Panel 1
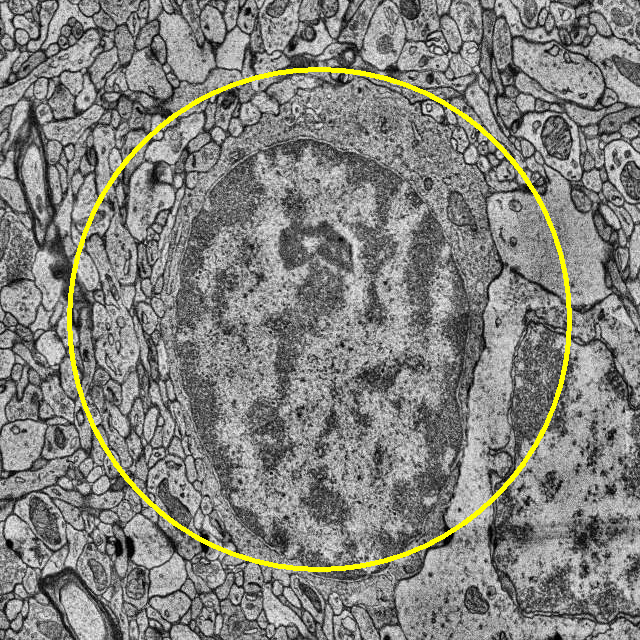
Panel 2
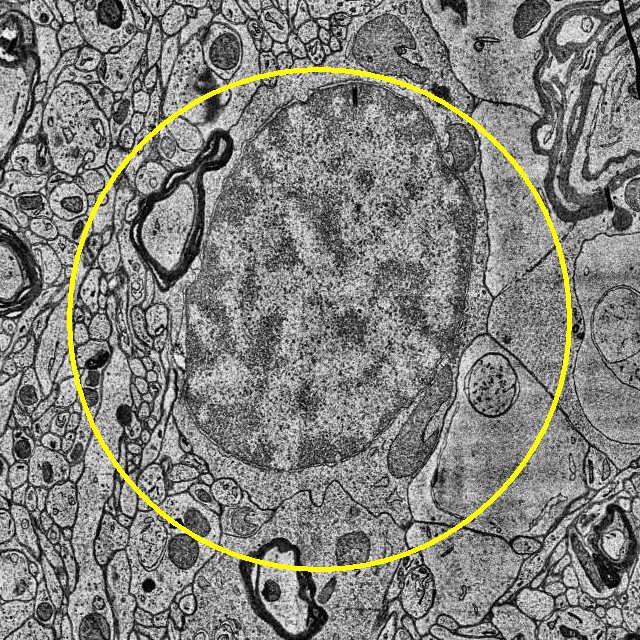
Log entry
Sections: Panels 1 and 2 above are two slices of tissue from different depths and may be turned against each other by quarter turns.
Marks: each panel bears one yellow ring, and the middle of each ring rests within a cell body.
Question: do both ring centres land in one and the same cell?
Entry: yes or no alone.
no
